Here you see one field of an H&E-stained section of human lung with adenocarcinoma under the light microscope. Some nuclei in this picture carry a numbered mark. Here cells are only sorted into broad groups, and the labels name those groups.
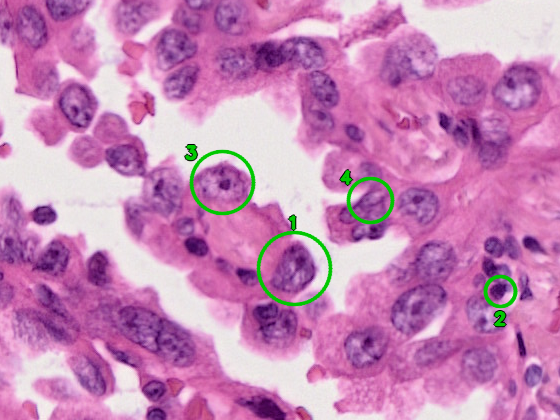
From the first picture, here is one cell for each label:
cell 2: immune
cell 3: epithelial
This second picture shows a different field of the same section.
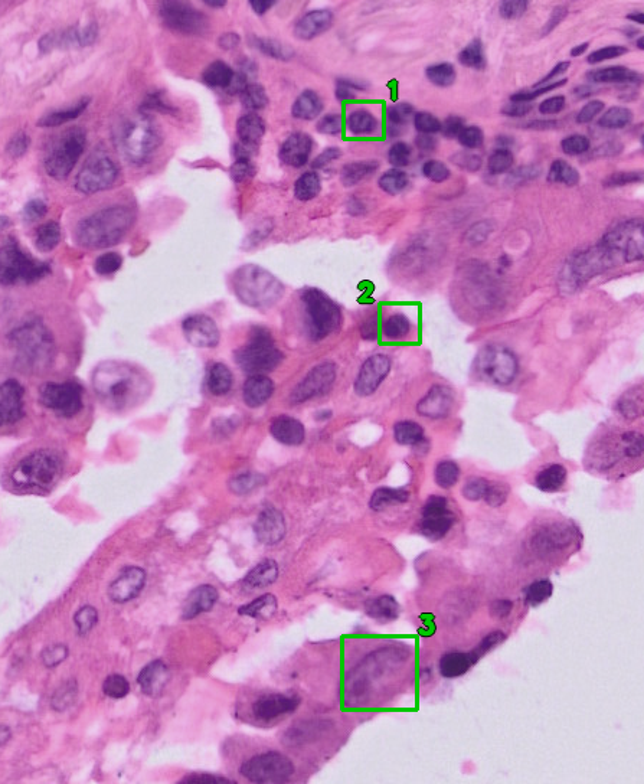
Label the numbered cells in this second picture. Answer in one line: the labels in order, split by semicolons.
immune; immune; epithelial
